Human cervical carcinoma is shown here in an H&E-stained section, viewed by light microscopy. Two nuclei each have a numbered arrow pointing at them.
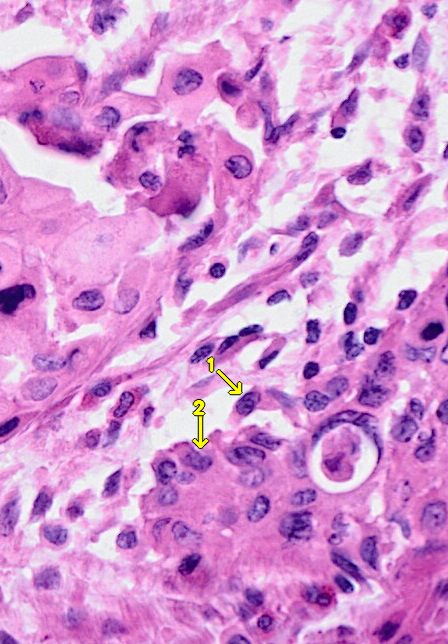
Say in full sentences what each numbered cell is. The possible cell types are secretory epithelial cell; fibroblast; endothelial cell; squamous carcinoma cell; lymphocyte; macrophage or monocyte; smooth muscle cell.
Cell 1 is a macrophage or monocyte and cell 2 is a squamous carcinoma cell.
